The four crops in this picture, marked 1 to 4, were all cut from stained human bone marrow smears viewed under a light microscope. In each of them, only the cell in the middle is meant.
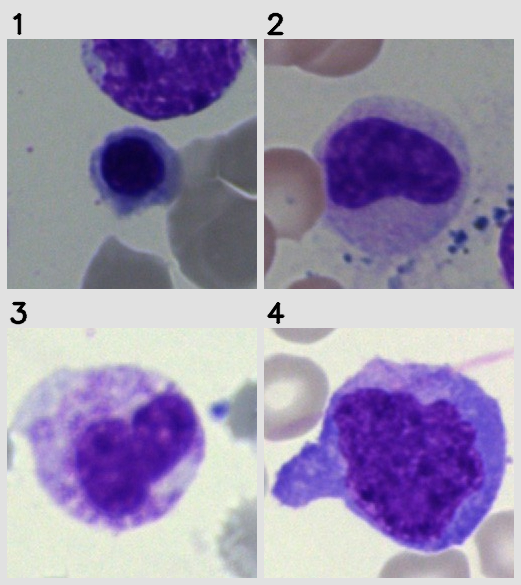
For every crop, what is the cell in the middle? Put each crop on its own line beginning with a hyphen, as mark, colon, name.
- 1: normoblast
- 2: metamyelocyte
- 3: band neutrophil
- 4: blast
